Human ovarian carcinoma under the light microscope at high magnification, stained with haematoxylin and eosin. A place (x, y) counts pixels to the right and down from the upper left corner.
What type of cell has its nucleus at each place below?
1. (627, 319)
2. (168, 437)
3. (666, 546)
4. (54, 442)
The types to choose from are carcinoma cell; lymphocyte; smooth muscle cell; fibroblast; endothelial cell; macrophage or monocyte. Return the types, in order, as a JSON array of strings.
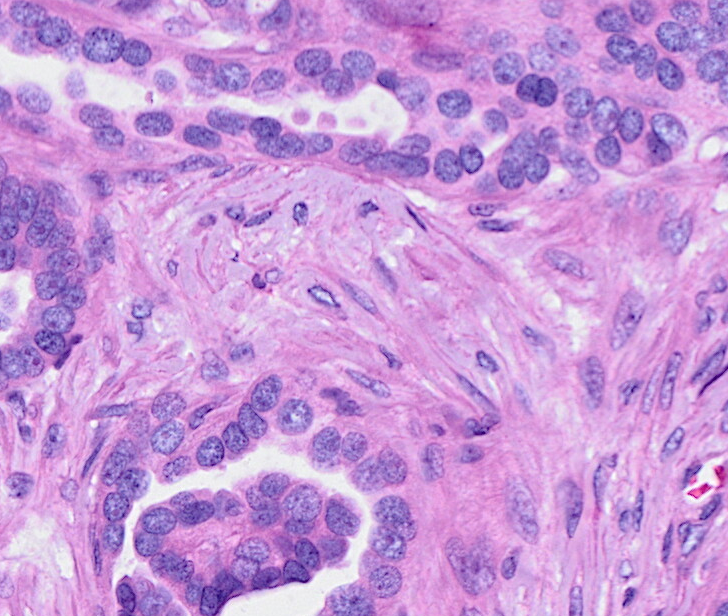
["fibroblast", "carcinoma cell", "fibroblast", "fibroblast"]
